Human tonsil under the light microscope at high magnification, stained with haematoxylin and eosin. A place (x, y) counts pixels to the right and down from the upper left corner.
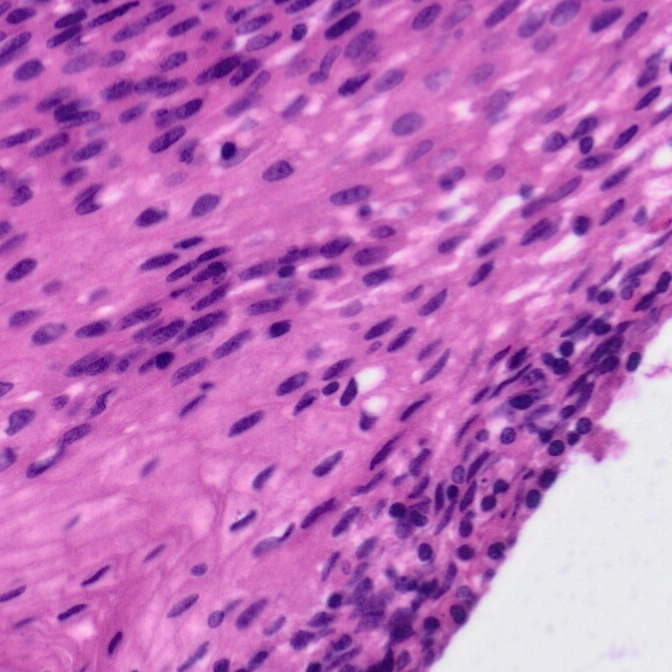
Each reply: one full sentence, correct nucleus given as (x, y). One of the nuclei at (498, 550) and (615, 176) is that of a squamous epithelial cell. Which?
Answering which nucleus it is: the one at (615, 176), belonging to a squamous epithelial cell.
